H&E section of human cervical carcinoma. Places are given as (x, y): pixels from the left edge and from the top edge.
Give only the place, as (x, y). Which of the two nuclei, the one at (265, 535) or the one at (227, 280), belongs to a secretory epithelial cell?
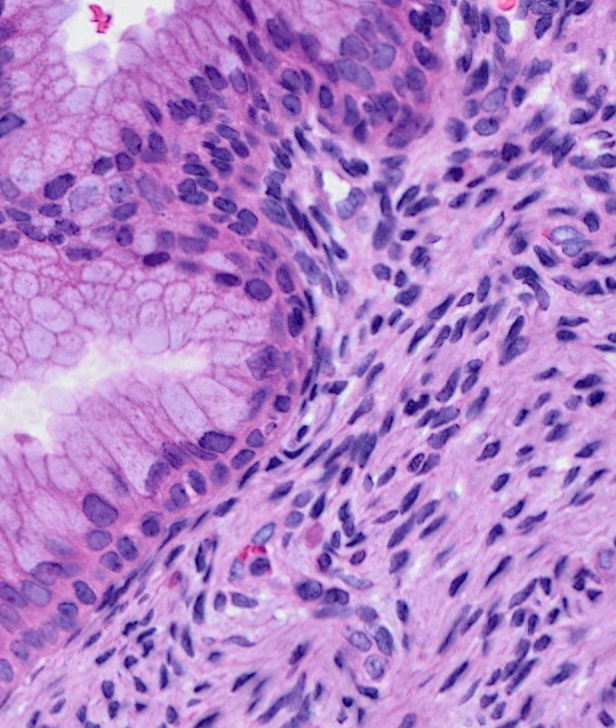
(227, 280)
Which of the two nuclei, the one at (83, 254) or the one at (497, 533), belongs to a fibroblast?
(497, 533)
